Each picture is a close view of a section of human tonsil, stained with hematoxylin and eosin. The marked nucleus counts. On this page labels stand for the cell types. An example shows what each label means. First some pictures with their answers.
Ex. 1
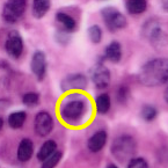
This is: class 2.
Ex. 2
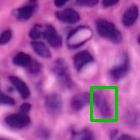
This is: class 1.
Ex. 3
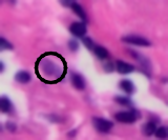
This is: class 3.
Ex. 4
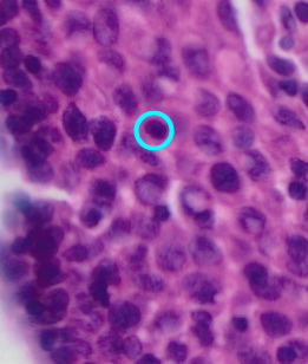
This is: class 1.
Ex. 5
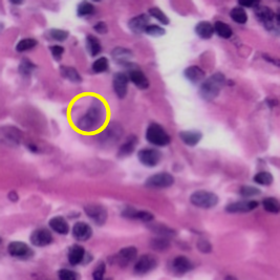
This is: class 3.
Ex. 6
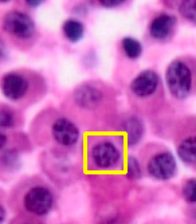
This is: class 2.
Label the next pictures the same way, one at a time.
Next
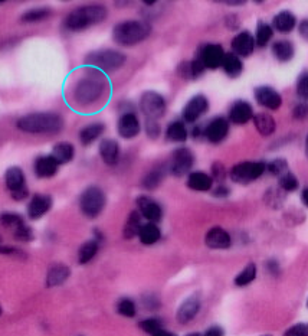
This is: class 3.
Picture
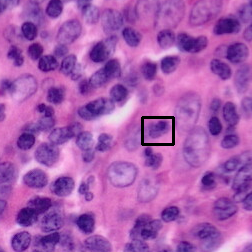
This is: class 3.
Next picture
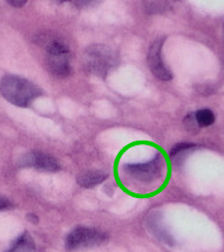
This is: class 1.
